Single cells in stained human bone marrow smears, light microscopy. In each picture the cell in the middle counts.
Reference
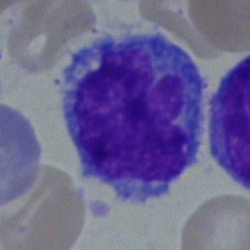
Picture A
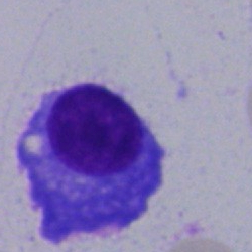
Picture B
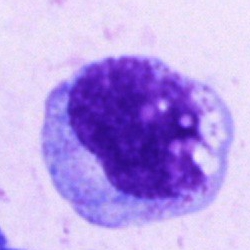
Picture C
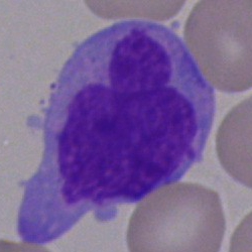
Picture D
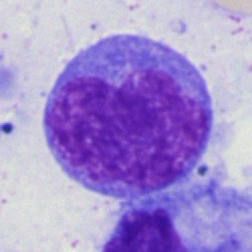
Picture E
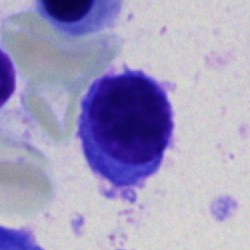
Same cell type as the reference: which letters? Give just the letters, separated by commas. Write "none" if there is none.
B, C, D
